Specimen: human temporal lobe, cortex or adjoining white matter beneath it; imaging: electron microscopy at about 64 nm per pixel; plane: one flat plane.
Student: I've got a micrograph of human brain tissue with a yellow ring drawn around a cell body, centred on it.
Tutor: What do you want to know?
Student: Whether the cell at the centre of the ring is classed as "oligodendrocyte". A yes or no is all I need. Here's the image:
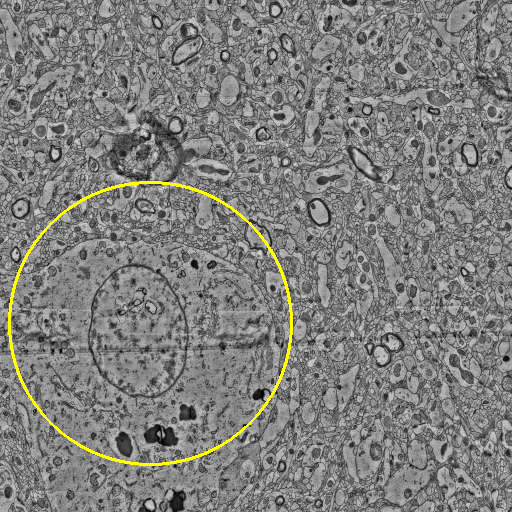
no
